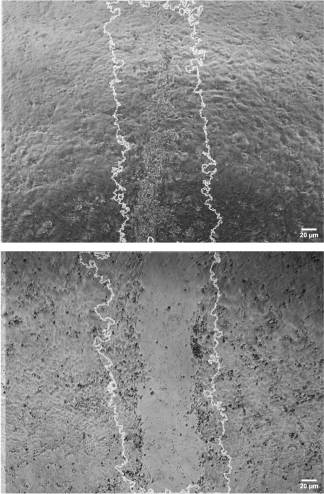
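In the upper image, the strip is narrow and partly filled with scattered cells and debris near its middle. In the lower image, the strip is wider and mostly empty, and the adjoining monolayer holds dark, rounded clumps of cells near the wound edges. Individual cell outlines are faint at this magnification; nuclei are not clearly resolved.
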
